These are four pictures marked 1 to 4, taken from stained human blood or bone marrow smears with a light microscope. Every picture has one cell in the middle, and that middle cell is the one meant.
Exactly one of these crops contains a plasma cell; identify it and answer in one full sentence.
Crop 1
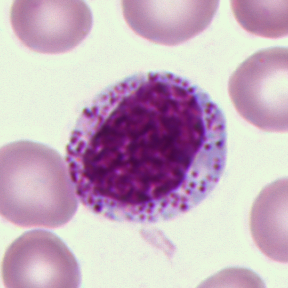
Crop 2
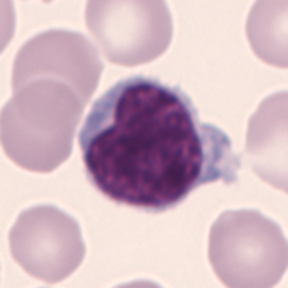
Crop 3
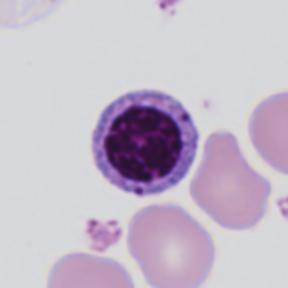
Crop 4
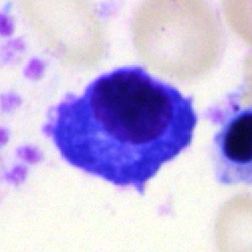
The one crop that shows a plasma cell is crop 4.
